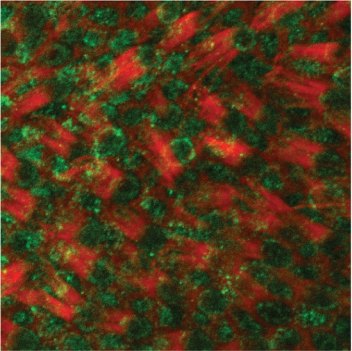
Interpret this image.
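This is a surface view of a vestibular sensory epithelium with hair cells and supporting cells. Red tufts of hair bundles, made of many rod-like projections of differing lengths, are scattered across the field and lean in varying directions. Green granular label fills rounded cell bodies lying among the bundles, some appearing as green rings, while the red bundles themselves carry little green. Fine green dots are spread throughout.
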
